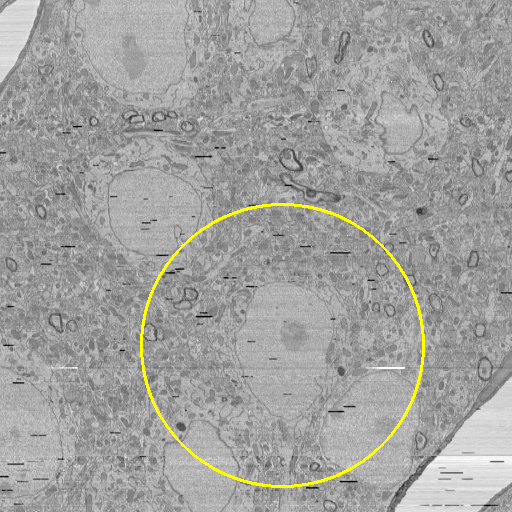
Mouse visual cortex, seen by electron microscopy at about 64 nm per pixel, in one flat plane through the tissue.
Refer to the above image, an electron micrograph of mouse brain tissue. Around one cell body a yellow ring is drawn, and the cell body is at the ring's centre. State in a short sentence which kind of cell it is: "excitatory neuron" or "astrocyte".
The centre of the ring falls on an excitatory neuron.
